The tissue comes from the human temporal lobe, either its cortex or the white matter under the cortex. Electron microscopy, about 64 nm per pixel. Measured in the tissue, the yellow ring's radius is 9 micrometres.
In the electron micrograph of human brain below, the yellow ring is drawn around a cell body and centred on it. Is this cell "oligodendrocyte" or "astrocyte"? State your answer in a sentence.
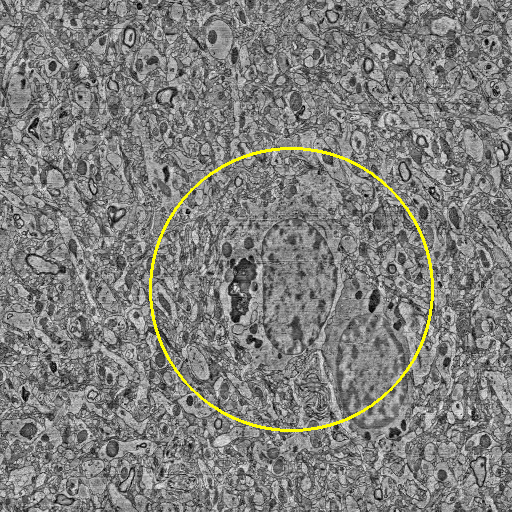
The cell in the middle of the ring is an astrocyte.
